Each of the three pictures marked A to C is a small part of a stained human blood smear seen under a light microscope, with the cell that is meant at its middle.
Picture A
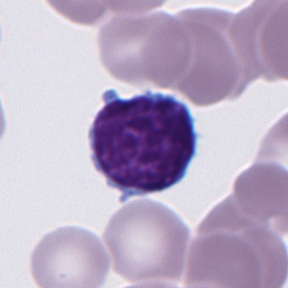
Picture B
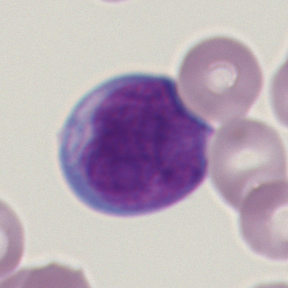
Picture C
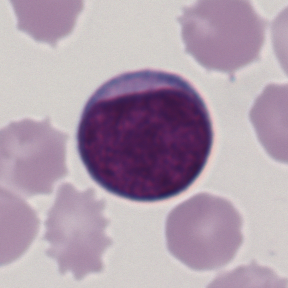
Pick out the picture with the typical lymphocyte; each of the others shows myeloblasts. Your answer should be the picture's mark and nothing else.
A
